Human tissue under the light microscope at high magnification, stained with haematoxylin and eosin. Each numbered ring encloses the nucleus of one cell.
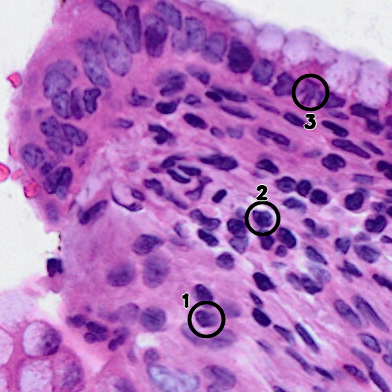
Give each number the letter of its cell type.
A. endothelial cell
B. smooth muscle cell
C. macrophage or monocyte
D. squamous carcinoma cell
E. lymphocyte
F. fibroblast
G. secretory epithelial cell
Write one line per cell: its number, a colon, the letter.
1: E
2: E
3: G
